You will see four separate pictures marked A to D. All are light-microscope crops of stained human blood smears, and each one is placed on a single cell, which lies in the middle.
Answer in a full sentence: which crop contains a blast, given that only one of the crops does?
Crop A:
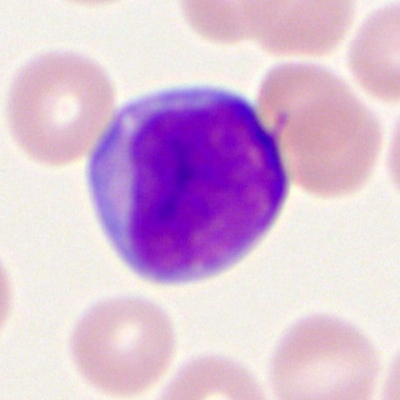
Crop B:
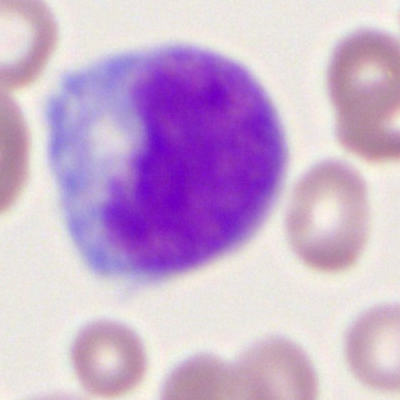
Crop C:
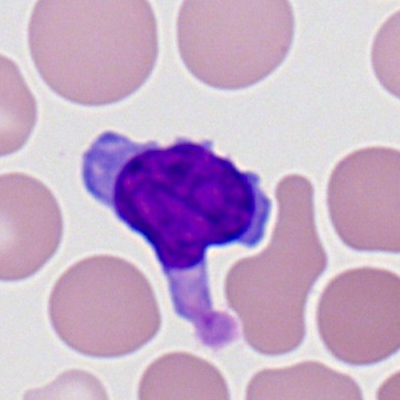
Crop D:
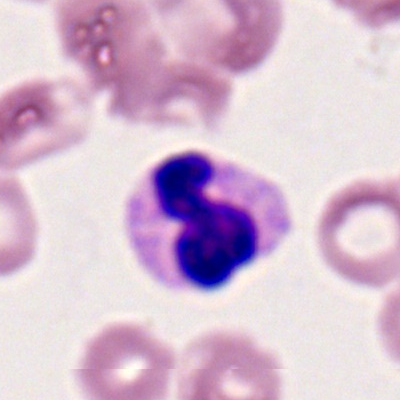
In this series, a blast is shown by crop A.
